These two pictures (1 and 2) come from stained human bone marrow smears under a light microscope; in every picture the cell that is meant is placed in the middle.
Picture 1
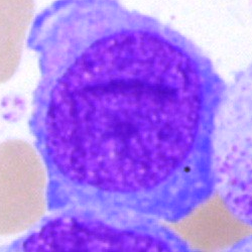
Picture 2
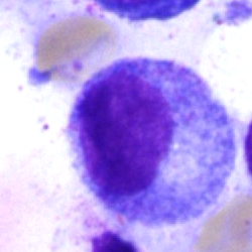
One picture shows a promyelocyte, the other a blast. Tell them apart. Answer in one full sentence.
Picture 2 shows a promyelocyte, while picture 1 shows a blast.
